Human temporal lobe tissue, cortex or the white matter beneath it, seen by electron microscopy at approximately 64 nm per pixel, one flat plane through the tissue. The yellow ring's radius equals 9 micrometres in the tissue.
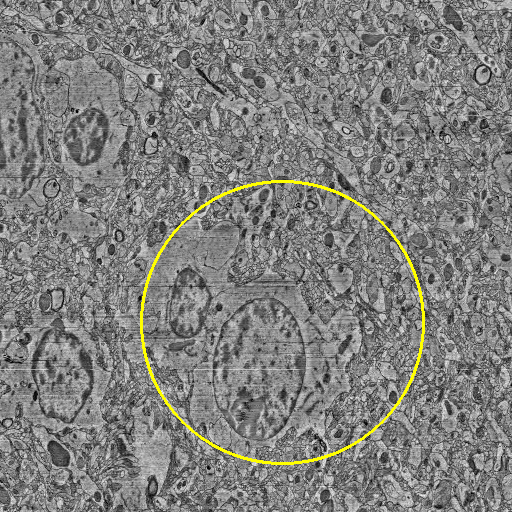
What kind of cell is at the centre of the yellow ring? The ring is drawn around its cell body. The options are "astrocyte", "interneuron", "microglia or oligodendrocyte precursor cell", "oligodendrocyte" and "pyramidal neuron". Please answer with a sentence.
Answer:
The yellow ring marks the cell body of an astrocyte.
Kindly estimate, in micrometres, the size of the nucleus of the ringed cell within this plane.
The nucleus is about 9 micrometres in length and 6 in width, clearly longer than it is wide in this plane.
